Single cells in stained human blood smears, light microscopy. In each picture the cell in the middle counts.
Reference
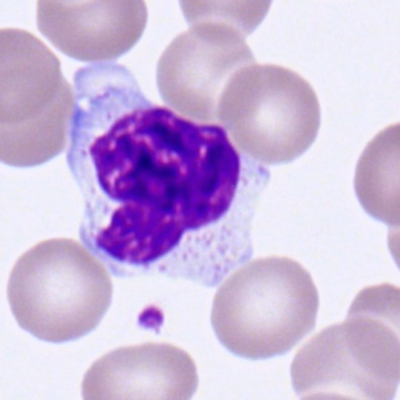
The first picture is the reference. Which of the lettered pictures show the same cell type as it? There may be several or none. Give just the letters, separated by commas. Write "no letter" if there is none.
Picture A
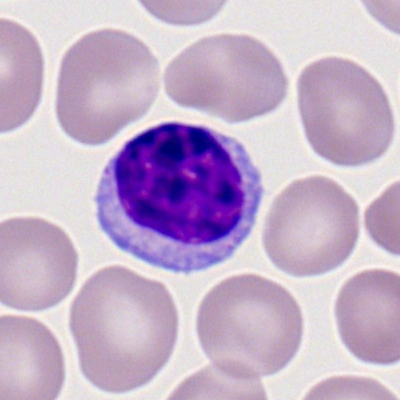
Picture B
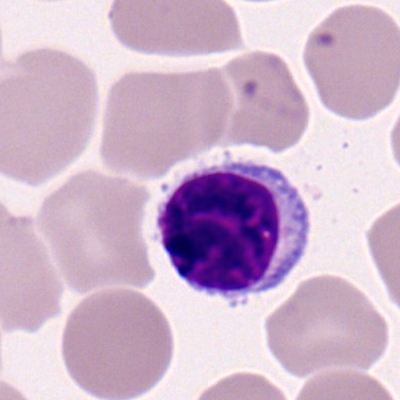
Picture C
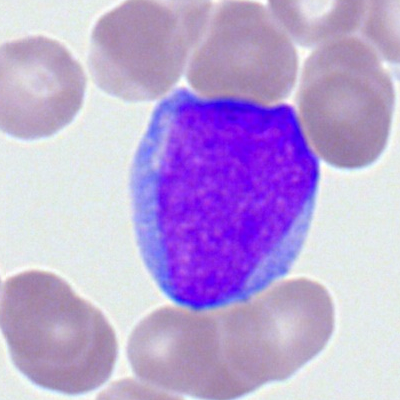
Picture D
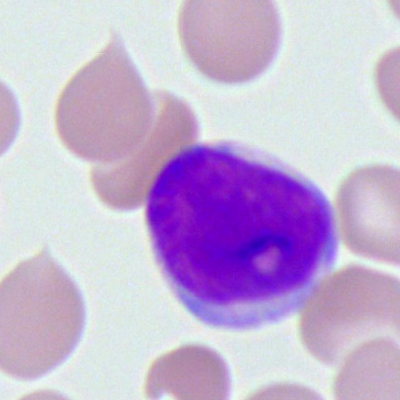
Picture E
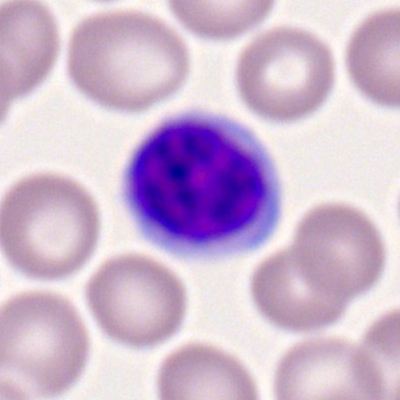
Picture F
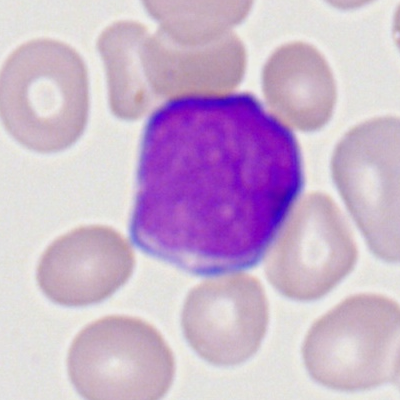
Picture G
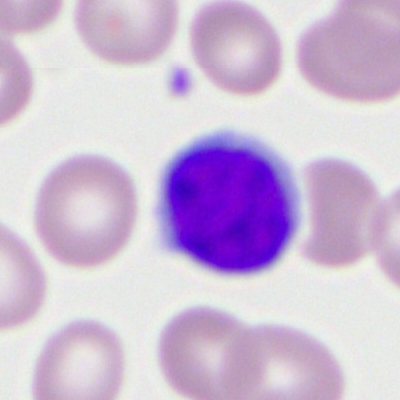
A, B, E, G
